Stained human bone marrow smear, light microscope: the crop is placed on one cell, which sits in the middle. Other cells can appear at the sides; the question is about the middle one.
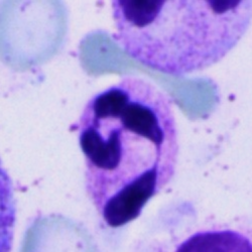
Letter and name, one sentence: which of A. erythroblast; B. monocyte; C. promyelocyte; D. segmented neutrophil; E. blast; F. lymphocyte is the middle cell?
Option D stands as correct, the central cell being a segmented neutrophil.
